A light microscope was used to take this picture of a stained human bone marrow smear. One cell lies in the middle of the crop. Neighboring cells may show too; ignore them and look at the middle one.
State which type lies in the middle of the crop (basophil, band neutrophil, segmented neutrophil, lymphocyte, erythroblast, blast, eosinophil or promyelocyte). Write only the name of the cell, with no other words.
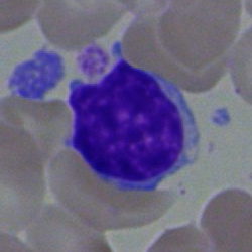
lymphocyte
